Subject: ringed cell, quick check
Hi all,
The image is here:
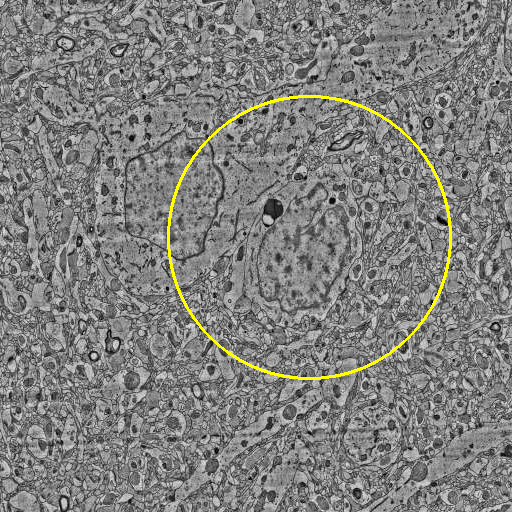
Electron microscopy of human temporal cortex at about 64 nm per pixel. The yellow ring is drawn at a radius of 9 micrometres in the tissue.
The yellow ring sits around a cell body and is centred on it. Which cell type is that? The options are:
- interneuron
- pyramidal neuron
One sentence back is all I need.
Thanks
That ringed cell is an interneuron.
